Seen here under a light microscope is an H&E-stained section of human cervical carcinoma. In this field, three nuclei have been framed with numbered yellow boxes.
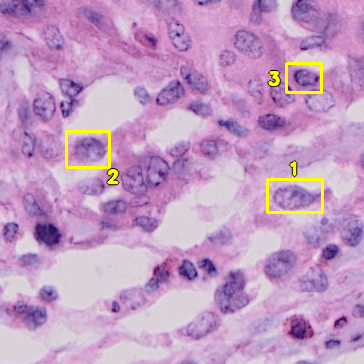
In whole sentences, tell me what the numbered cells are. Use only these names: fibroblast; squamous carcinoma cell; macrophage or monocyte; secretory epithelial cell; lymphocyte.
Cell 1 is a macrophage or monocyte, cell 2 is a macrophage or monocyte and cell 3 is a squamous carcinoma cell.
